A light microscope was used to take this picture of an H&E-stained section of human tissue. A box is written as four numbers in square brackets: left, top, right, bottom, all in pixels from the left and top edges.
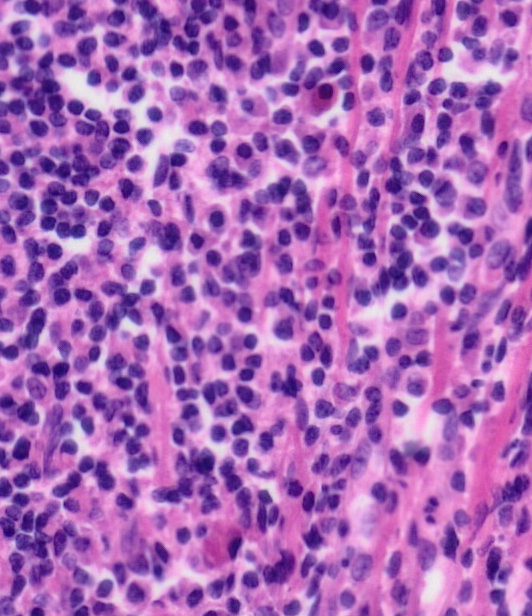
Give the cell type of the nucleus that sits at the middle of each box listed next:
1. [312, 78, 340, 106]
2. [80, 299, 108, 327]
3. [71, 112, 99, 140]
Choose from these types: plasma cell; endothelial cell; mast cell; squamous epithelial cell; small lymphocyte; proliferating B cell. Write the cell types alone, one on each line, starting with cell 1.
plasma cell
small lymphocyte
small lymphocyte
